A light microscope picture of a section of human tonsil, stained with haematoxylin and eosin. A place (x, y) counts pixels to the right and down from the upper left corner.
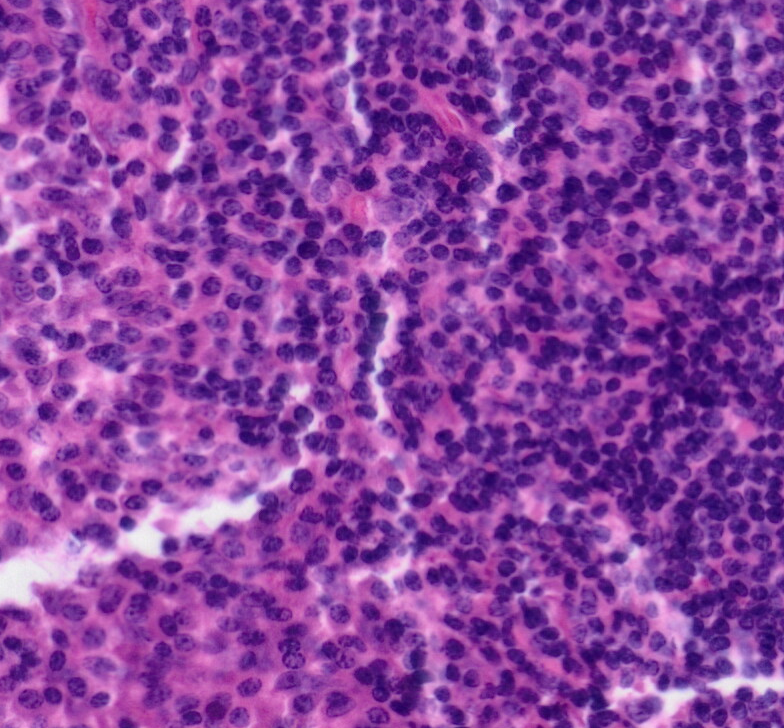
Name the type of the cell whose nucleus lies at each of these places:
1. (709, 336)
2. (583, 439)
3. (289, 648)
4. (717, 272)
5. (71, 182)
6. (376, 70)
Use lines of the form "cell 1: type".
cell 1: small lymphocyte
cell 2: small lymphocyte
cell 3: plasma cell
cell 4: small lymphocyte
cell 5: squamous epithelial cell
cell 6: small lymphocyte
